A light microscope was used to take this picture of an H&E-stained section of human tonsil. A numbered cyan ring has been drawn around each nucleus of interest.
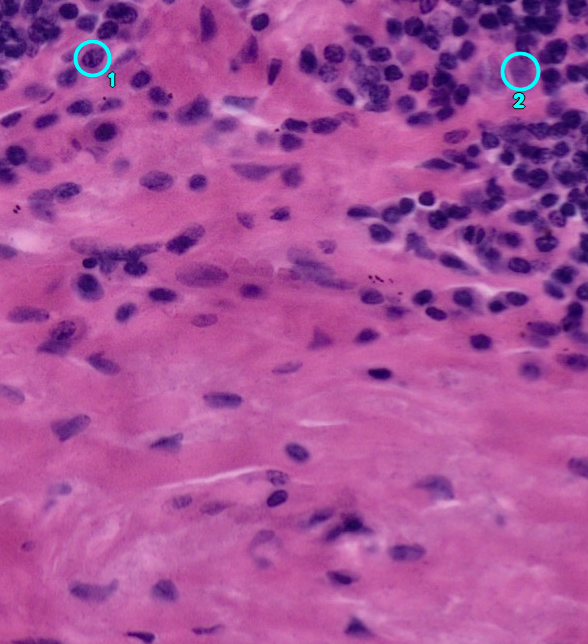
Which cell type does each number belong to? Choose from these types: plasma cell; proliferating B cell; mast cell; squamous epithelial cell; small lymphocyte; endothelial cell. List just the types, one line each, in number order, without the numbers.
plasma cell
endothelial cell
